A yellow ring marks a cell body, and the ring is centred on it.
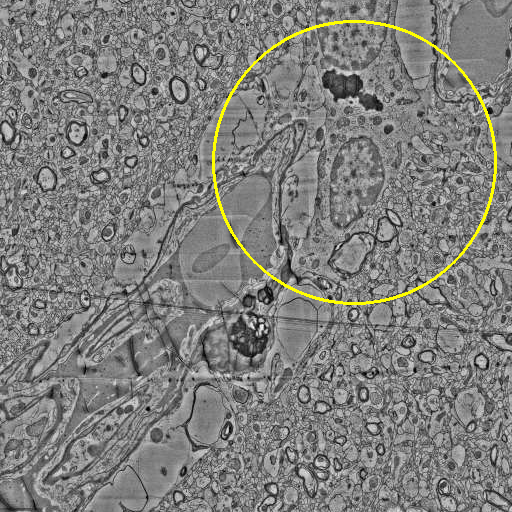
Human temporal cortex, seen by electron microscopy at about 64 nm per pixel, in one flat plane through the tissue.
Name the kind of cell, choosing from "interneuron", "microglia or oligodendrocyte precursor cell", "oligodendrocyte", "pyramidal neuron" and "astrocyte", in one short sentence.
The marked cell body belongs to an oligodendrocyte.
